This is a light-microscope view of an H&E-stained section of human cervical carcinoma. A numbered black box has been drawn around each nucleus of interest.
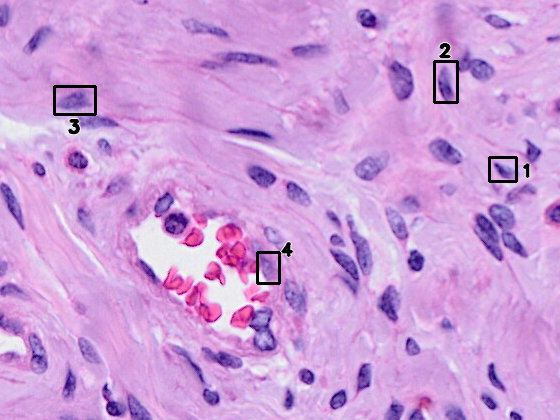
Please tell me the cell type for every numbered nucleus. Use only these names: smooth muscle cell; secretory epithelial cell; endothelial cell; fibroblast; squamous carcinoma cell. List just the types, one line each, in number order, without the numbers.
fibroblast
fibroblast
fibroblast
endothelial cell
